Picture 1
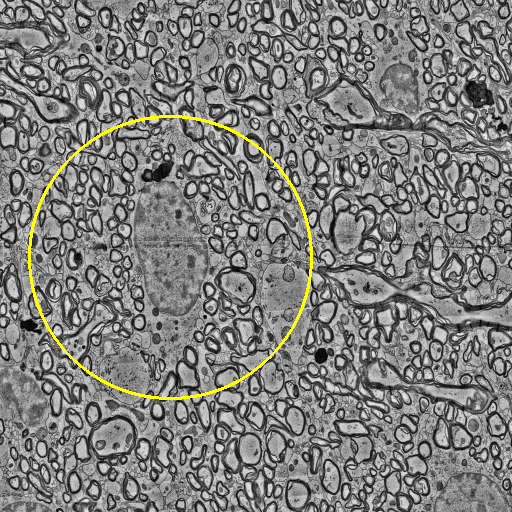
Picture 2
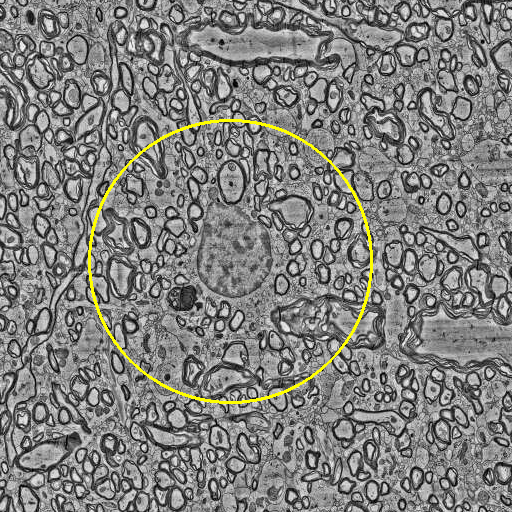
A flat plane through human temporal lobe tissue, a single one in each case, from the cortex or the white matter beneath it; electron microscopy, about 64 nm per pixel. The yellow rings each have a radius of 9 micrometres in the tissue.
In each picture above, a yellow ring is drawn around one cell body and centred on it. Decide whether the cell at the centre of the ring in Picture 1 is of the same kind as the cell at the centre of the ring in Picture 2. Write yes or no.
yes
